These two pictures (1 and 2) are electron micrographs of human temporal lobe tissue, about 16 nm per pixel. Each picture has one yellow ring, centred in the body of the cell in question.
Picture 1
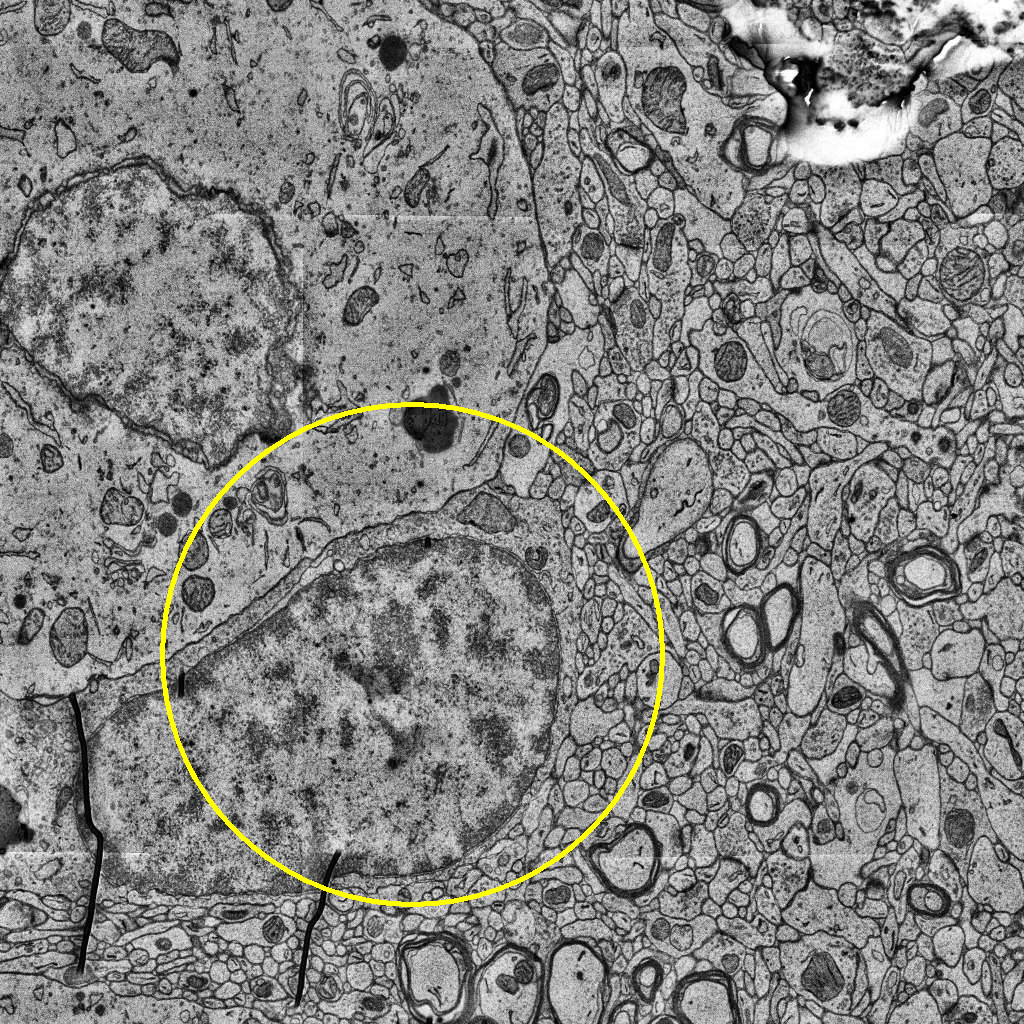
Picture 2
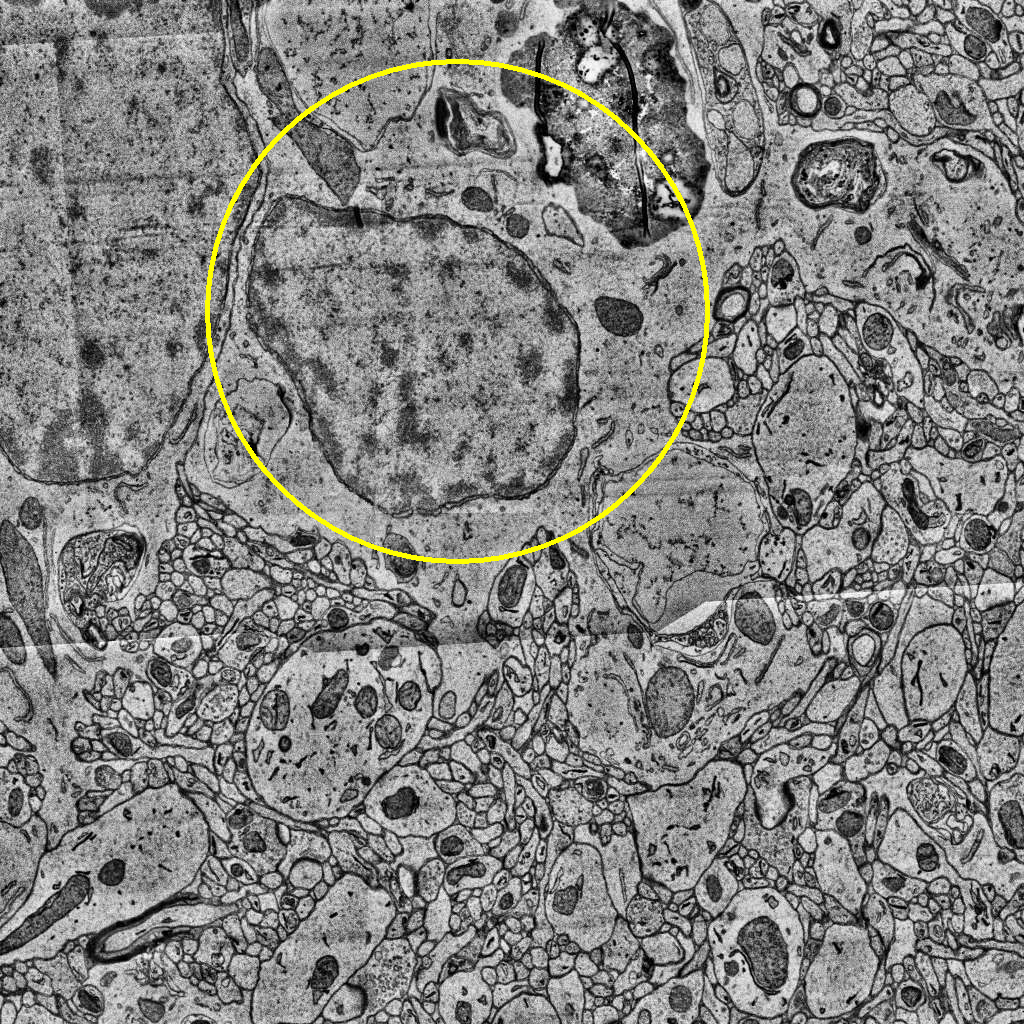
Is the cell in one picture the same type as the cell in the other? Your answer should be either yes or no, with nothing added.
no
